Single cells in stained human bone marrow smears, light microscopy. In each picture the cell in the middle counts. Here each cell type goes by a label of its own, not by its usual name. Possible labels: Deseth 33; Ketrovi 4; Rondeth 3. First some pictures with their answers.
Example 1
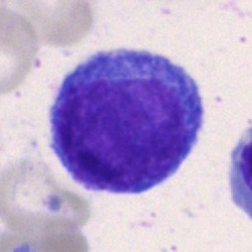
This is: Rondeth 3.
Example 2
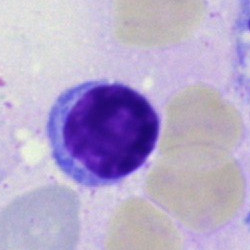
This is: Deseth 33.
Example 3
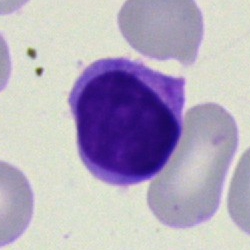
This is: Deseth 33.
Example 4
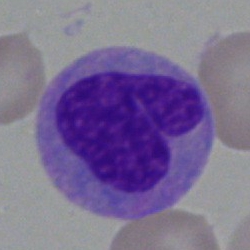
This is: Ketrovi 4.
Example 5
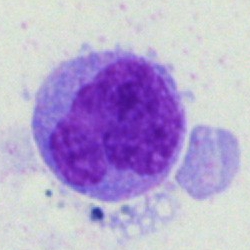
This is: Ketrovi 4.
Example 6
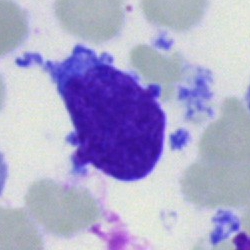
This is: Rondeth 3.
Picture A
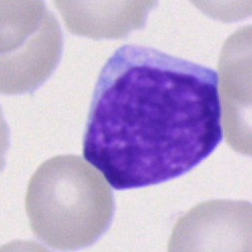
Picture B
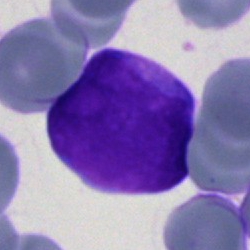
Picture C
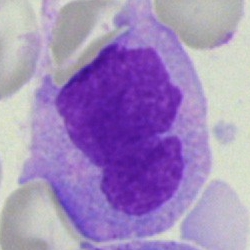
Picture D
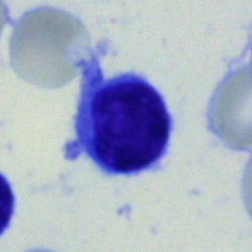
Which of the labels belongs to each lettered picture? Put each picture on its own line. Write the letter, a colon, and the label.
A: Rondeth 3.
B: Rondeth 3.
C: Ketrovi 4.
D: Deseth 33.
